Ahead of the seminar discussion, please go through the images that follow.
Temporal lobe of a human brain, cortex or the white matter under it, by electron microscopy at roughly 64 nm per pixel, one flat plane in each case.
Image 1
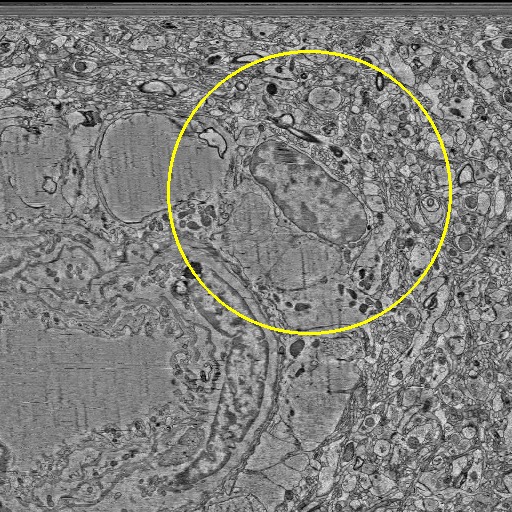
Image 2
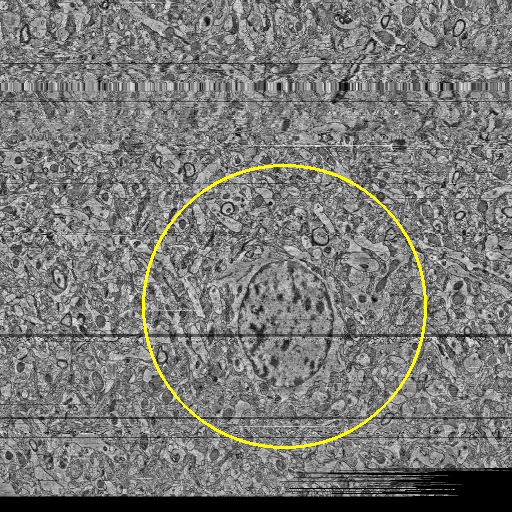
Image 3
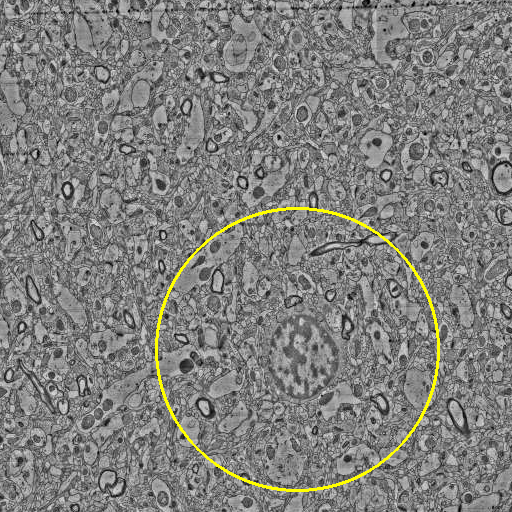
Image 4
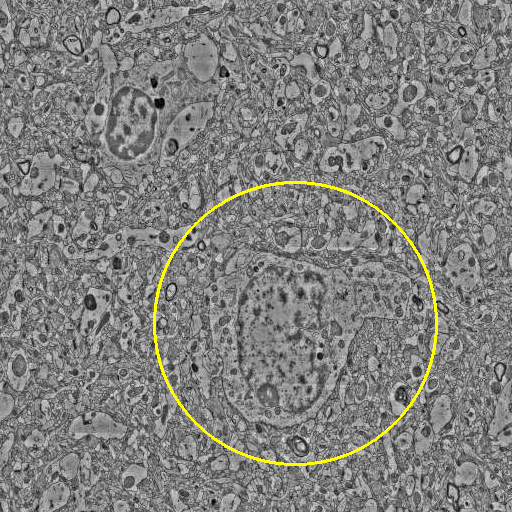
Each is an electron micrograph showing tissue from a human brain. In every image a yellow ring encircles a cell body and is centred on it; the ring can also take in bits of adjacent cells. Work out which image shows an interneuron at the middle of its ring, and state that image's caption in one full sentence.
In Image 4, the ring's centre holds the cell you are looking for.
